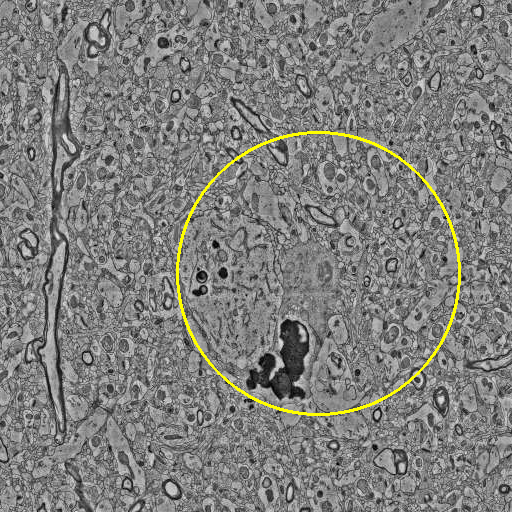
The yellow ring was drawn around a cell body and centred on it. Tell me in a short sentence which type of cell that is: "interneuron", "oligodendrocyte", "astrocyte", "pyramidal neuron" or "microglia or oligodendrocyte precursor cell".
The cell at the ring's centre is an oligodendrocyte.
